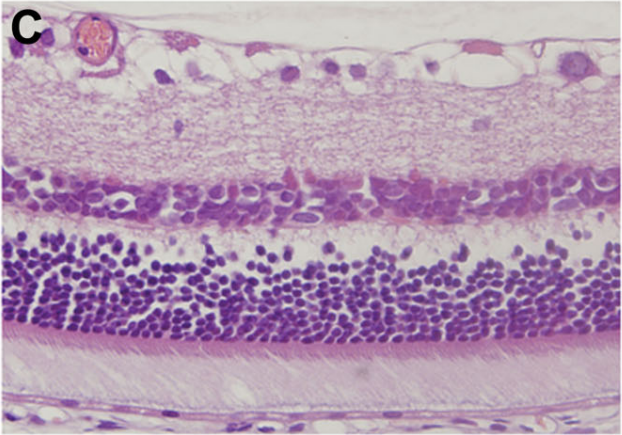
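Retina in cross-section with swollen, loosened layers. The ganglion cell layer along the inner surface contains large clear vacuole-like spaces between scattered cells, and a vessel with red blood cells lies there. The pale pink fibrous inner plexiform layer is broad. The inner nuclear layer has nuclei lying irregularly rather than in even rows. The outer nuclear layer of dark round nuclei is thick, with pale gaps separating clusters of nuclei.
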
